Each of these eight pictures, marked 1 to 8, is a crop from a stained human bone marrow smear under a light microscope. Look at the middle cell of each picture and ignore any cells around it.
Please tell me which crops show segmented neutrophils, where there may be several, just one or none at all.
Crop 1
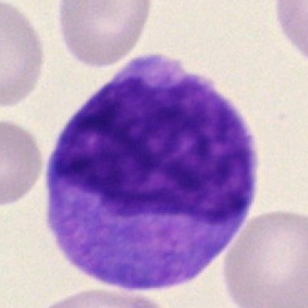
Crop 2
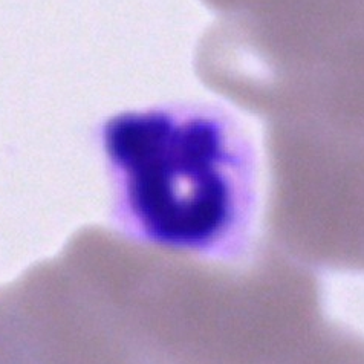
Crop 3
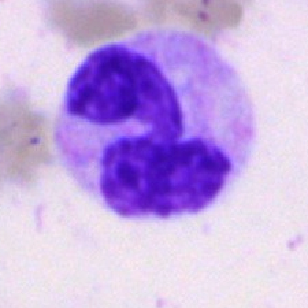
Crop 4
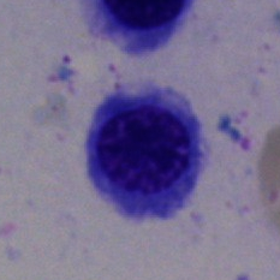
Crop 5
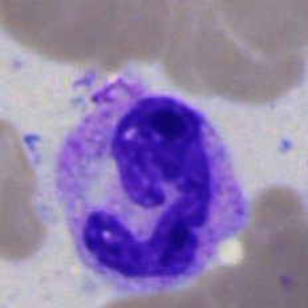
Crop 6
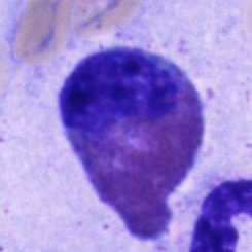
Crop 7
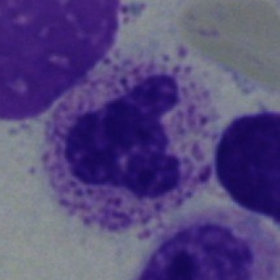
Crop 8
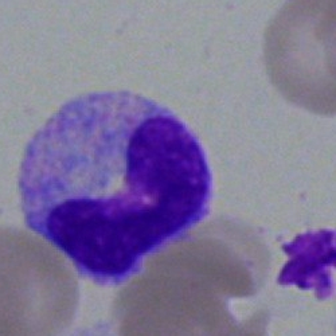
2, 3, 5, 7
